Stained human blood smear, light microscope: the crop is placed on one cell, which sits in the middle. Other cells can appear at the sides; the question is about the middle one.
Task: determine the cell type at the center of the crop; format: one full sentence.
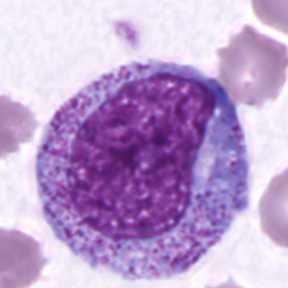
The cell at the central position in this crop is a promyelocyte.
